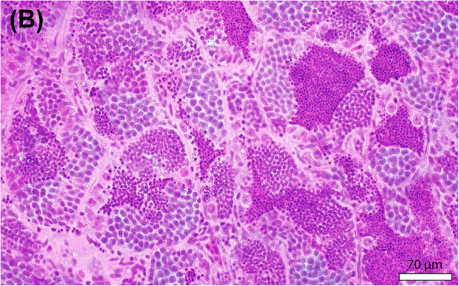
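This is testis tissue in which seminiferous tubules are filled with germ cells at different stages of development. The cells lie in clusters of similar size: some clusters have small, densely packed dark purple nuclei, others larger round cells with paler bluish nuclei and some pink cytoplasm. Thin pale pink septa separate the compartments.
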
